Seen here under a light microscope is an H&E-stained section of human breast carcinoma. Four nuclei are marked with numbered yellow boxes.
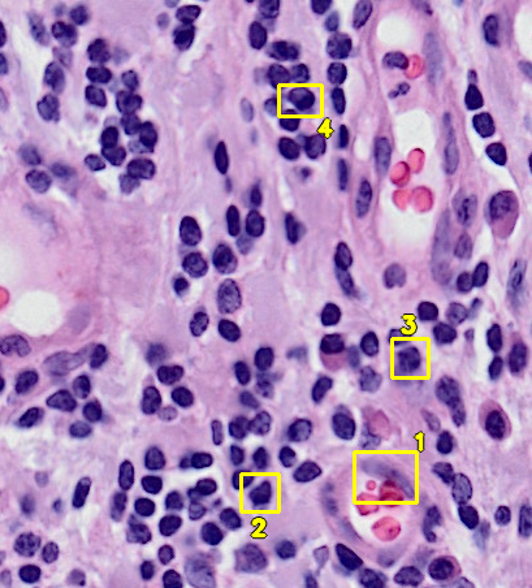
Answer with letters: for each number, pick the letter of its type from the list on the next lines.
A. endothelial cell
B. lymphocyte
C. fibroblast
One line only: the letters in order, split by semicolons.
A; B; B; B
